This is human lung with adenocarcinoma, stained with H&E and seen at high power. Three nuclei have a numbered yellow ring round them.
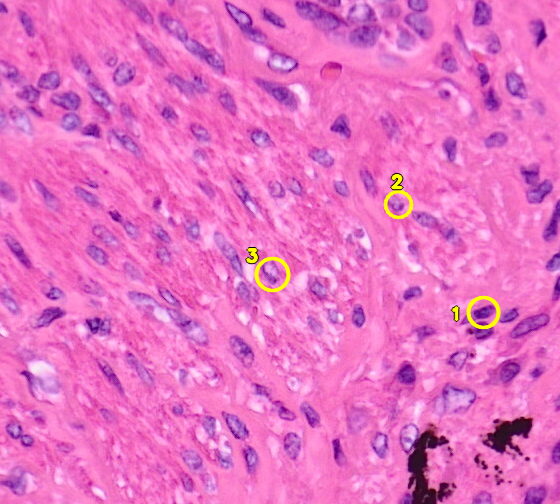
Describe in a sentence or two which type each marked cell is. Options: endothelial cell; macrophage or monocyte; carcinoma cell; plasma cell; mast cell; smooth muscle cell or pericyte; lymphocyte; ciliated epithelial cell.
Cell 1 is a mast cell, cell 2 is a smooth muscle cell or pericyte and cell 3 is a smooth muscle cell or pericyte.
